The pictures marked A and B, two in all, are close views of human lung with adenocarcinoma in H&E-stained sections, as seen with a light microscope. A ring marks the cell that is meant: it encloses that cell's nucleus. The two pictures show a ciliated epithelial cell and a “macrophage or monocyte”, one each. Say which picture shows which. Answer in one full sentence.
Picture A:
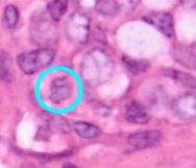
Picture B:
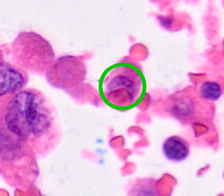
It is picture A that shows a ciliated epithelial cell, and picture B that shows a “macrophage or monocyte”.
